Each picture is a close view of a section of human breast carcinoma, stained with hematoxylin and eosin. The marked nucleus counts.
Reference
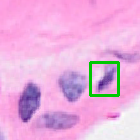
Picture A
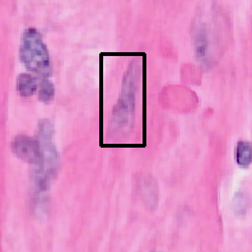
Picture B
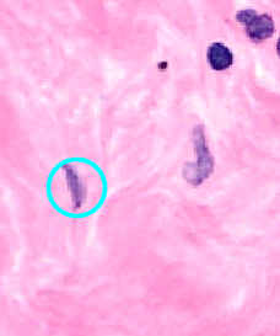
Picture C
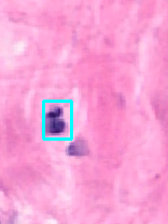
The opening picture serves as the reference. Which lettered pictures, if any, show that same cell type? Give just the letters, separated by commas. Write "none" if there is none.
none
